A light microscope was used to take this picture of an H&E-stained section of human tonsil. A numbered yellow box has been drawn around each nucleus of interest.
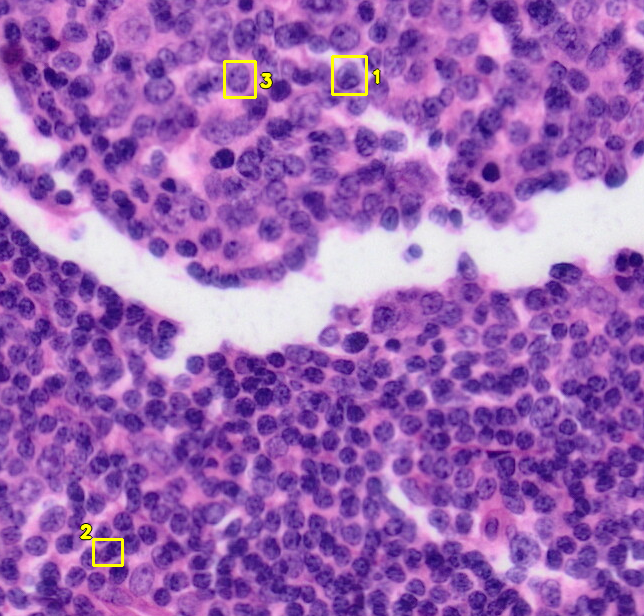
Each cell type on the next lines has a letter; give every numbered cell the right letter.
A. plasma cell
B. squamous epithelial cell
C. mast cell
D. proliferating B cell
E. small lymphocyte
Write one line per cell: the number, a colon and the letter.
1: D
2: E
3: D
